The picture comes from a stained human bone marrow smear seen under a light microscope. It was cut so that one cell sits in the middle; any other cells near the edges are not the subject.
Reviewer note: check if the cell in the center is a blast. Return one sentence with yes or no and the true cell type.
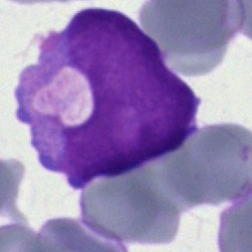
Yes, the cell in the middle is rightly called a blast.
